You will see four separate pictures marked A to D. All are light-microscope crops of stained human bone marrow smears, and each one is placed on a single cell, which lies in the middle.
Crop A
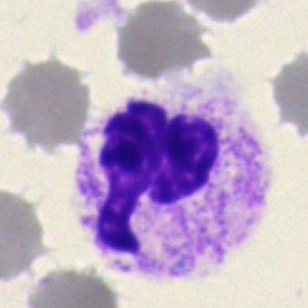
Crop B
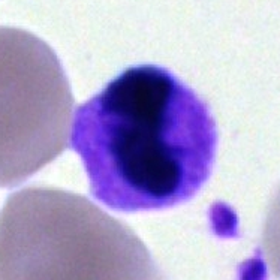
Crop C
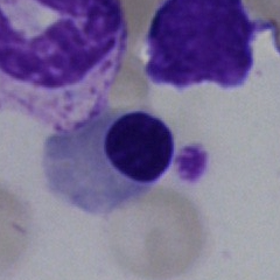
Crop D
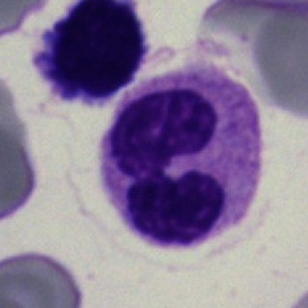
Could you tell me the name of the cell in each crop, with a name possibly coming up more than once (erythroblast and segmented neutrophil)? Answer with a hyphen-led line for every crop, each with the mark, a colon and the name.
- A: segmented neutrophil
- B: segmented neutrophil
- C: erythroblast
- D: segmented neutrophil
